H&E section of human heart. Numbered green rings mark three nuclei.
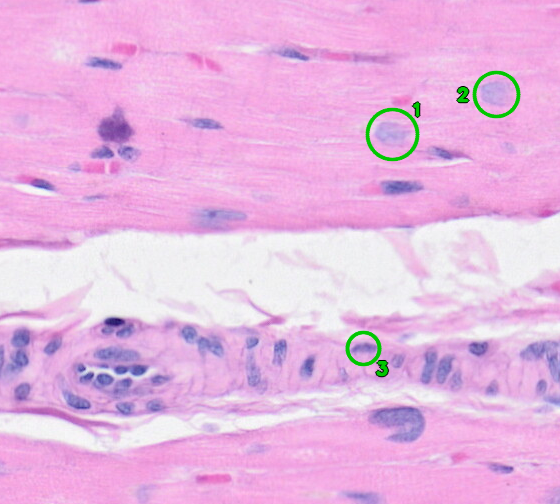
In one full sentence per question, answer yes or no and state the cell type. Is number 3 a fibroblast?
Yes, cell number 3 is identified here as a fibroblast.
